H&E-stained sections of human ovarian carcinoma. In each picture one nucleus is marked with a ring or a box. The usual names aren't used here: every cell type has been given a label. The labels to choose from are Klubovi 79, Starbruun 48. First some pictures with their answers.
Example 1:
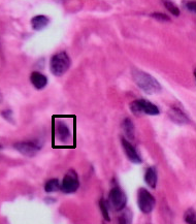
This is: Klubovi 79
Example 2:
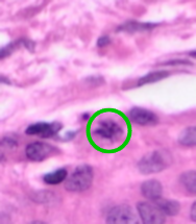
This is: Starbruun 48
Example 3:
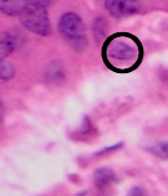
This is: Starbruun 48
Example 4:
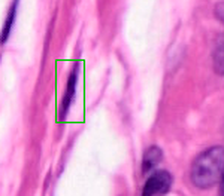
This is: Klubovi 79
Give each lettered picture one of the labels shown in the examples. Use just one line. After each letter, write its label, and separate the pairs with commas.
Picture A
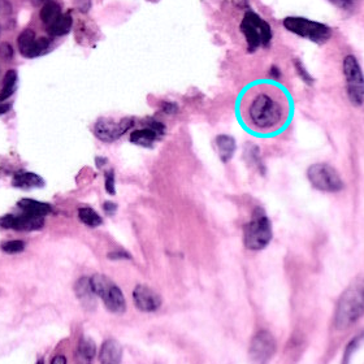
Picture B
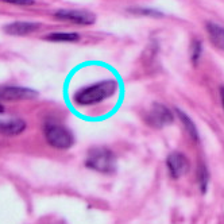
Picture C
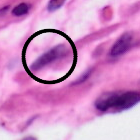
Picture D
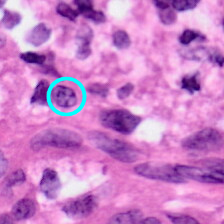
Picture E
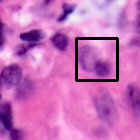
A Starbruun 48, B Starbruun 48, C Klubovi 79, D Starbruun 48, E Klubovi 79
